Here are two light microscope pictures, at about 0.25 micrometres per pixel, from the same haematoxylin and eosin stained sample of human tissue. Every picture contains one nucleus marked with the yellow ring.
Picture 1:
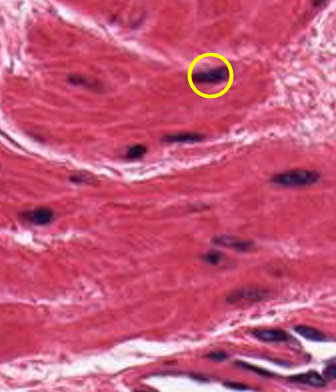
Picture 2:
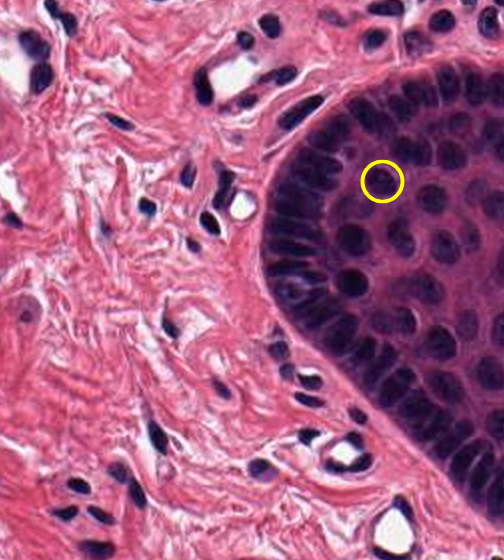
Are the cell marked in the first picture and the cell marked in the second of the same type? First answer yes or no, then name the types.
No, the first is a smooth muscle cell and the second a squamous epithelial cell.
